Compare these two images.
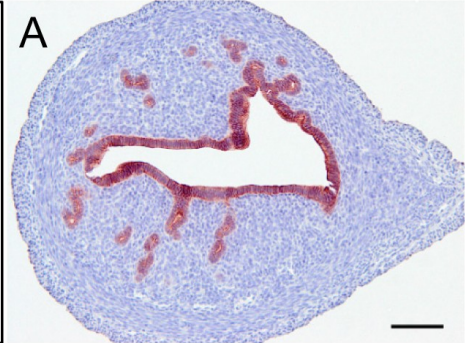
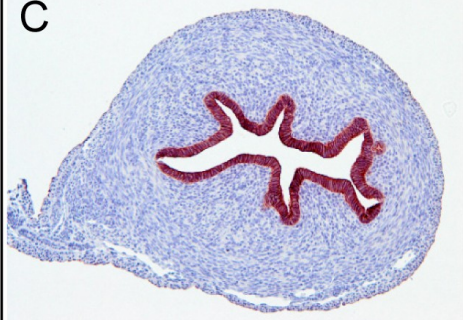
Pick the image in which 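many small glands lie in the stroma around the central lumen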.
The first image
